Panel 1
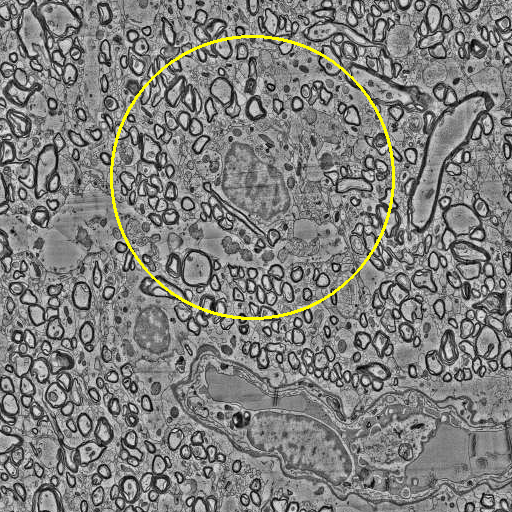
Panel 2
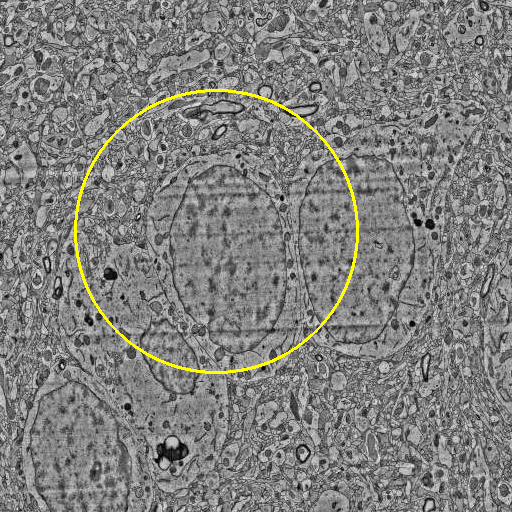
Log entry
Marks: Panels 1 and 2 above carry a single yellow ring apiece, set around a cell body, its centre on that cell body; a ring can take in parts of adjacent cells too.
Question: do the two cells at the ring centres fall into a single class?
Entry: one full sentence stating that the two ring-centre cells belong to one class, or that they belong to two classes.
The two ring-centre cells in Panels 1 and 2 belong to two classes.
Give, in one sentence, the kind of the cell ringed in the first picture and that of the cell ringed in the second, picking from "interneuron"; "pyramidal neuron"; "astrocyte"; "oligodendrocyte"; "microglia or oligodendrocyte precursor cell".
For the first picture it is an oligodendrocyte; for the second, a pyramidal neuron.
